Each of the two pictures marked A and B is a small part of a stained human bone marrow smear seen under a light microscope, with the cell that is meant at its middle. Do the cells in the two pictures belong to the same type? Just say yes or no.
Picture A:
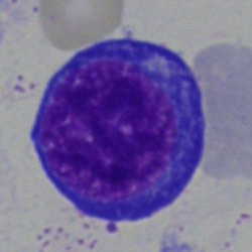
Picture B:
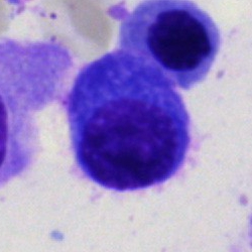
no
